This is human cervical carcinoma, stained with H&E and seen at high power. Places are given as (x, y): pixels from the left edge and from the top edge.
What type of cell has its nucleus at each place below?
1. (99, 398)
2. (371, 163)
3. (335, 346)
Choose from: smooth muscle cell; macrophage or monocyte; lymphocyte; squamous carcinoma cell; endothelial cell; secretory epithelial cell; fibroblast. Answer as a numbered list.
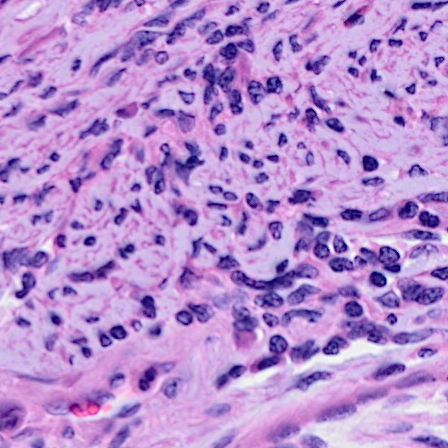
1. endothelial cell
2. lymphocyte
3. lymphocyte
